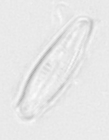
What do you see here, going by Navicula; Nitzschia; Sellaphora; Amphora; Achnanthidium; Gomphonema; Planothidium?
I see Achnanthidium.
